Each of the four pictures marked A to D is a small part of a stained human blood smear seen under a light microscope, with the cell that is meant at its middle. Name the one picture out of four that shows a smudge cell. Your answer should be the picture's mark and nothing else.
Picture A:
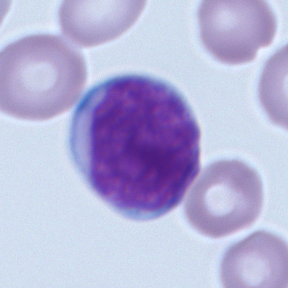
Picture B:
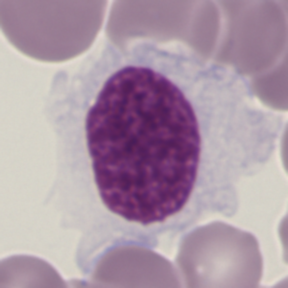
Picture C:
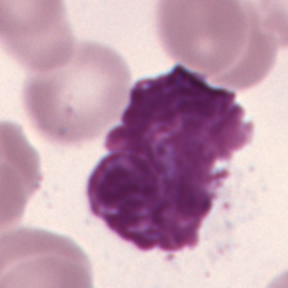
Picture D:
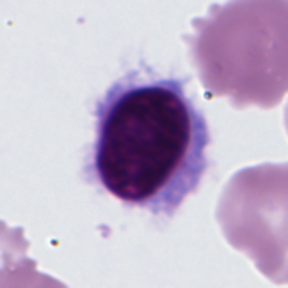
C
